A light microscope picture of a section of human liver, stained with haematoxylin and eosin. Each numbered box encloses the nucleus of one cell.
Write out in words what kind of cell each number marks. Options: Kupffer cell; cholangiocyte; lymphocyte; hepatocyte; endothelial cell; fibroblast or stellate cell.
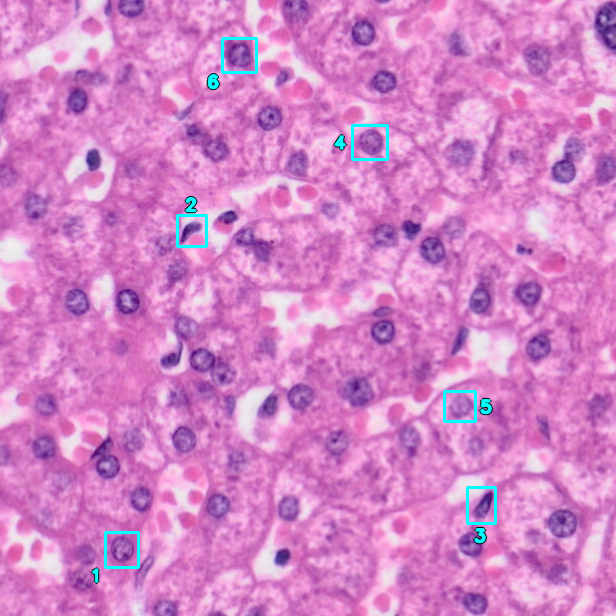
Cell 1 is a hepatocyte, cell 2 is an endothelial cell, cell 3 is a fibroblast or stellate cell, cell 4 is a hepatocyte, cell 5 is a hepatocyte and cell 6 is a hepatocyte.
